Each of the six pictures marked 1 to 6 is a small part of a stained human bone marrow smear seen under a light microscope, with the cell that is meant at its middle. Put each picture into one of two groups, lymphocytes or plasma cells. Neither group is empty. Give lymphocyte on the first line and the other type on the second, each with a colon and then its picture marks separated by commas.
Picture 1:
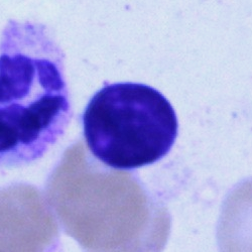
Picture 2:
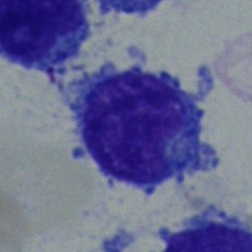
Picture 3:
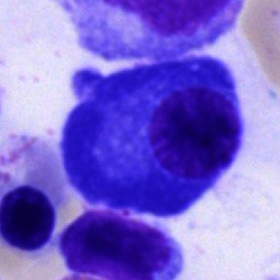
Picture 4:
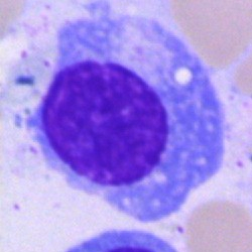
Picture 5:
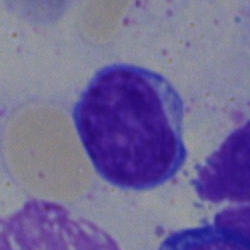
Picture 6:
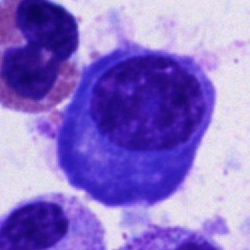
lymphocyte: 1, 2, 5
plasma cell: 3, 4, 6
